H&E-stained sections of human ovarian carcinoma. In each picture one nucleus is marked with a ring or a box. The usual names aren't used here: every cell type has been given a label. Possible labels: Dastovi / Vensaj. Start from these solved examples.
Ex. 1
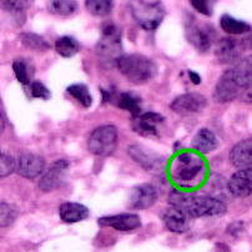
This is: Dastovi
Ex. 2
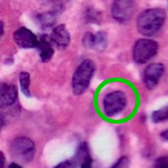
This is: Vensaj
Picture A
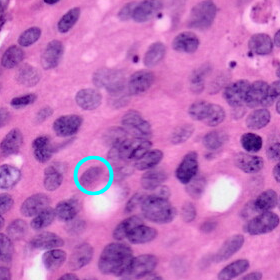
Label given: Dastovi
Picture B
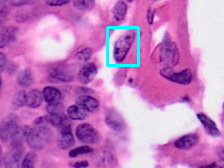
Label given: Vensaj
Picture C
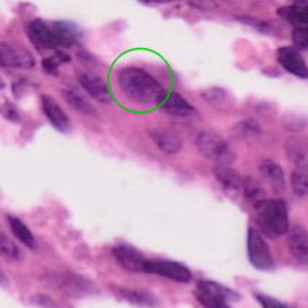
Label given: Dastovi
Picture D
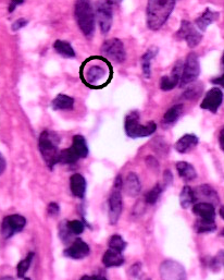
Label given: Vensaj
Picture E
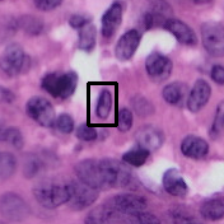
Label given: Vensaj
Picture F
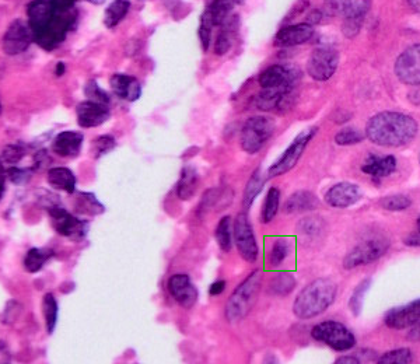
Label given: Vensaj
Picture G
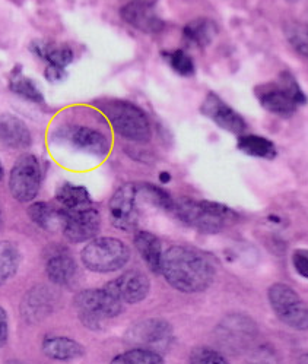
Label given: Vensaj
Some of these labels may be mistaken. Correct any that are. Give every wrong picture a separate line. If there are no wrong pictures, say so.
F: change Vensaj to Dastovi
G: change Vensaj to Dastovi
